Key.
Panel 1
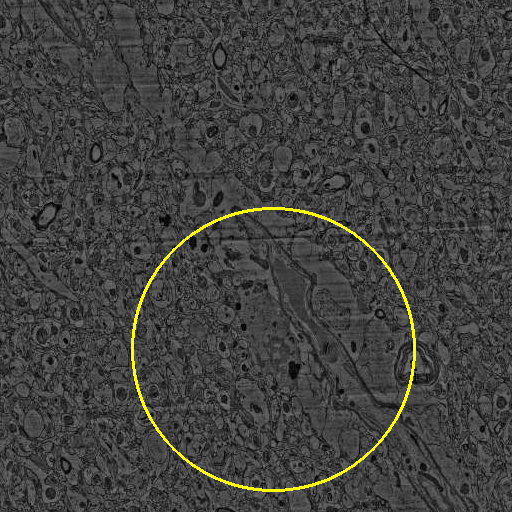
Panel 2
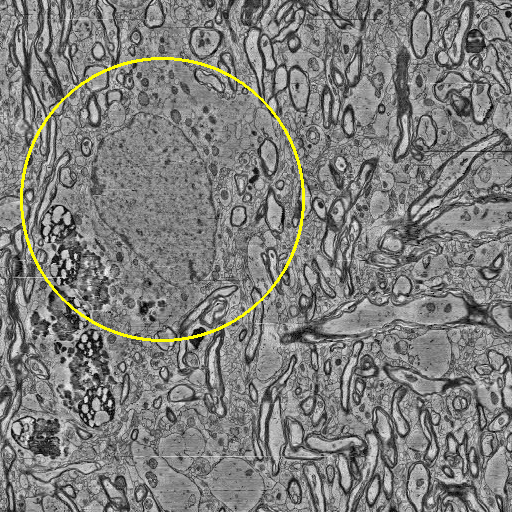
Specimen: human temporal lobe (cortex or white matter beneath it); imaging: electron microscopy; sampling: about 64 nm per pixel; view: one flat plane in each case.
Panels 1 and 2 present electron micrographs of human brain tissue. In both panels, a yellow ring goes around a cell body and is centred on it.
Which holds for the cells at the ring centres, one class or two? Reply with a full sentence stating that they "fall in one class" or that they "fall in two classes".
Taken together, the ring-centre cells of the two panels fall in two classes.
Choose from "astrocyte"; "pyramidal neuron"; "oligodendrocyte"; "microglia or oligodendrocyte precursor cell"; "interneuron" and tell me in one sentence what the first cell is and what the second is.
What the first ring is centred on is an oligodendrocyte; what the second ring is centred on is an astrocyte.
